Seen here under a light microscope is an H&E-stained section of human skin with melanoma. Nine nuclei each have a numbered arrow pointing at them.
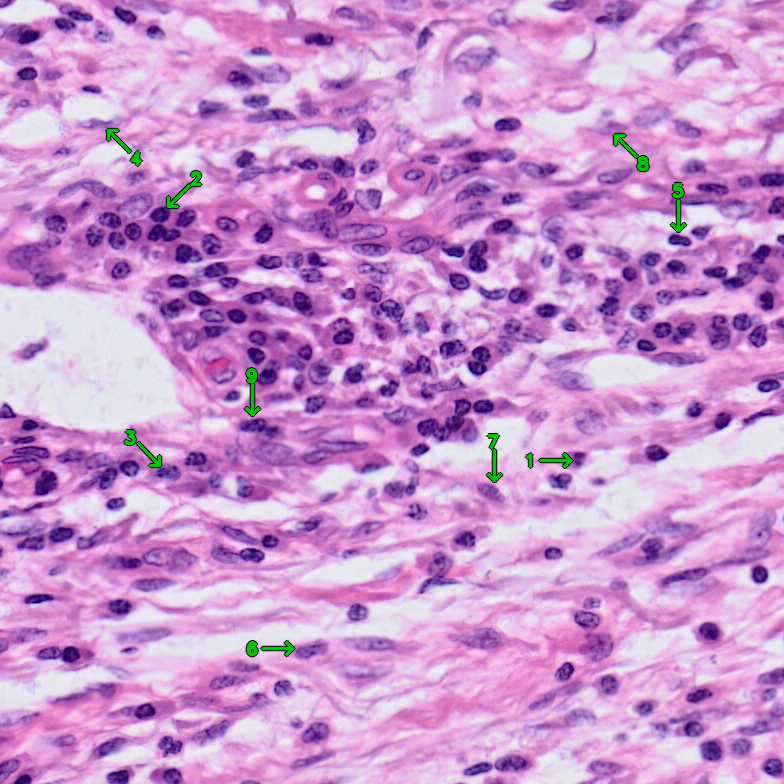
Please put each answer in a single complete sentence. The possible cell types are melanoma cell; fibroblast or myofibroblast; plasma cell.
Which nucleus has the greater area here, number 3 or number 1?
Of the two, number 3 is bigger and takes up about 2 times the area of number 1.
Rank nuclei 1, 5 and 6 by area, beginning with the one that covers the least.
By area, going up from the smallest, they rank 1, 5, 6.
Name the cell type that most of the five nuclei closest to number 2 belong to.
Plasma cells account for more than half of the five nuclei nearest to number 2.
